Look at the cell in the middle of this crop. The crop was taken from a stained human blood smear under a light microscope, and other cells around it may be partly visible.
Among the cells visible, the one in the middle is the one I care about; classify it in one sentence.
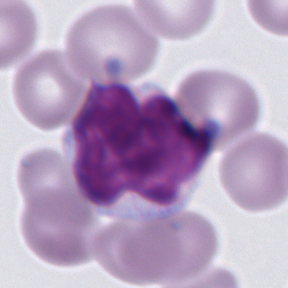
The cell marked by its central position in the crop is a large granular lymphocyte.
